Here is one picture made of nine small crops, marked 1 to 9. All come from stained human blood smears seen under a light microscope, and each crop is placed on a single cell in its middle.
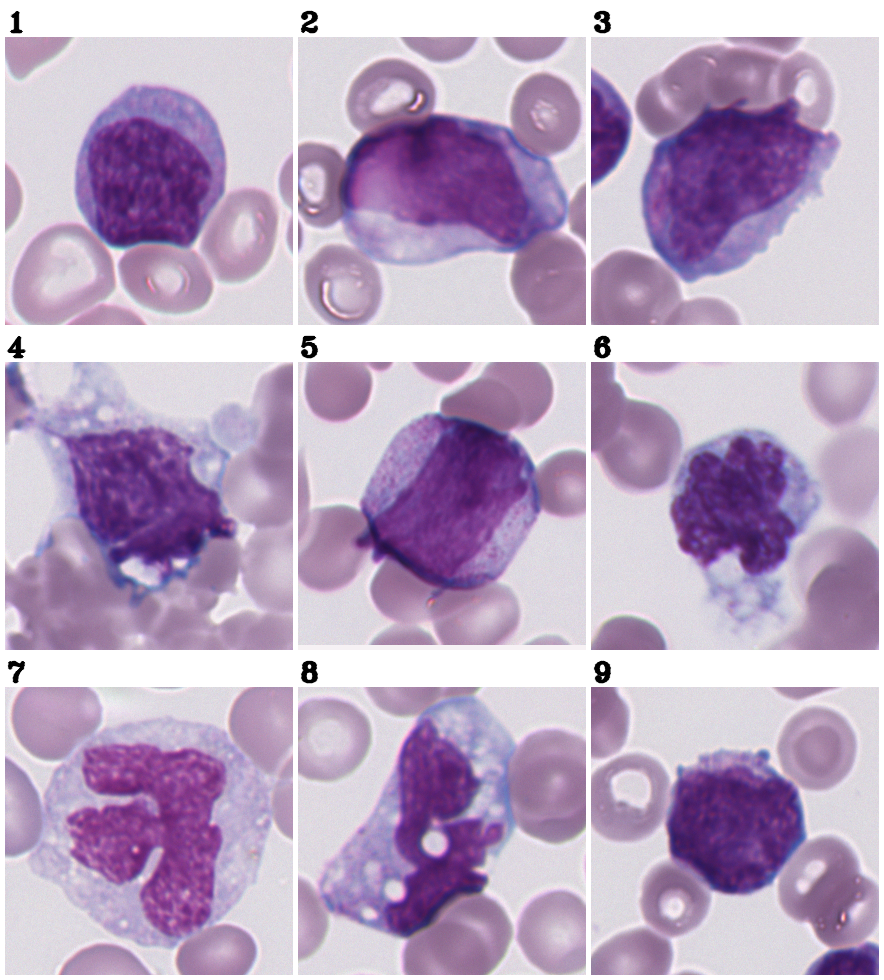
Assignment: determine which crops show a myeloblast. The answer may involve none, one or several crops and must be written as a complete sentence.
No, none of these crops shows a myeloblast.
